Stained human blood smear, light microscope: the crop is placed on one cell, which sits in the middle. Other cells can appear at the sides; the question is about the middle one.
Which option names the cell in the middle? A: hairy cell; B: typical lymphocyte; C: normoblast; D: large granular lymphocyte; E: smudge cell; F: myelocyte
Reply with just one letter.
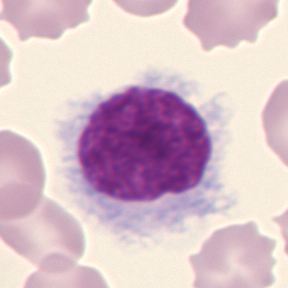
A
